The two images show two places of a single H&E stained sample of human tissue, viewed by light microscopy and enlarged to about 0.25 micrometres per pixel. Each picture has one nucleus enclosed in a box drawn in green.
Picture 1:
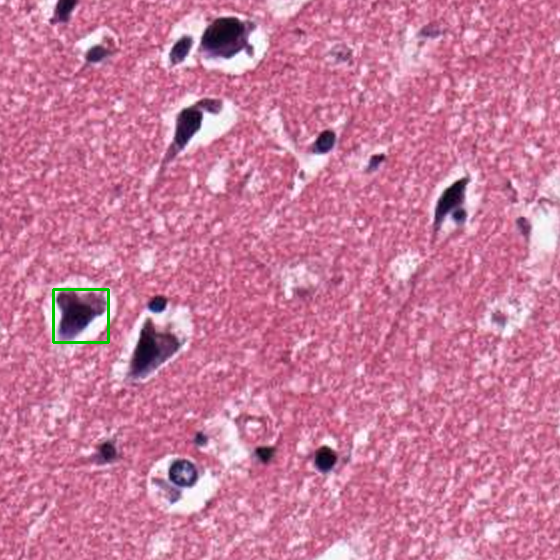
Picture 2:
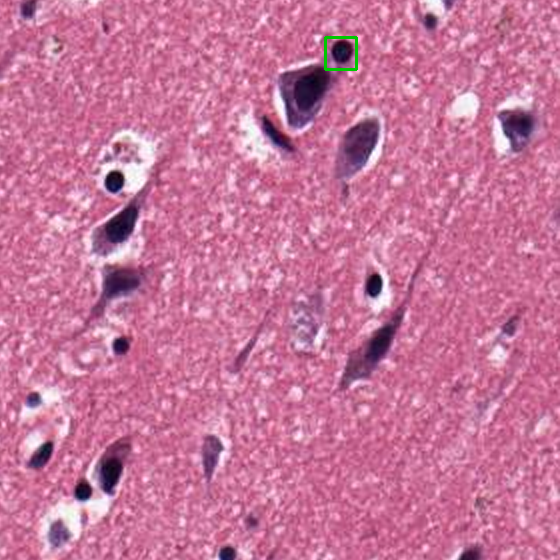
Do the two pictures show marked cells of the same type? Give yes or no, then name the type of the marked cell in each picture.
No, the first is a neuron and the second an oligodendrocyte.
